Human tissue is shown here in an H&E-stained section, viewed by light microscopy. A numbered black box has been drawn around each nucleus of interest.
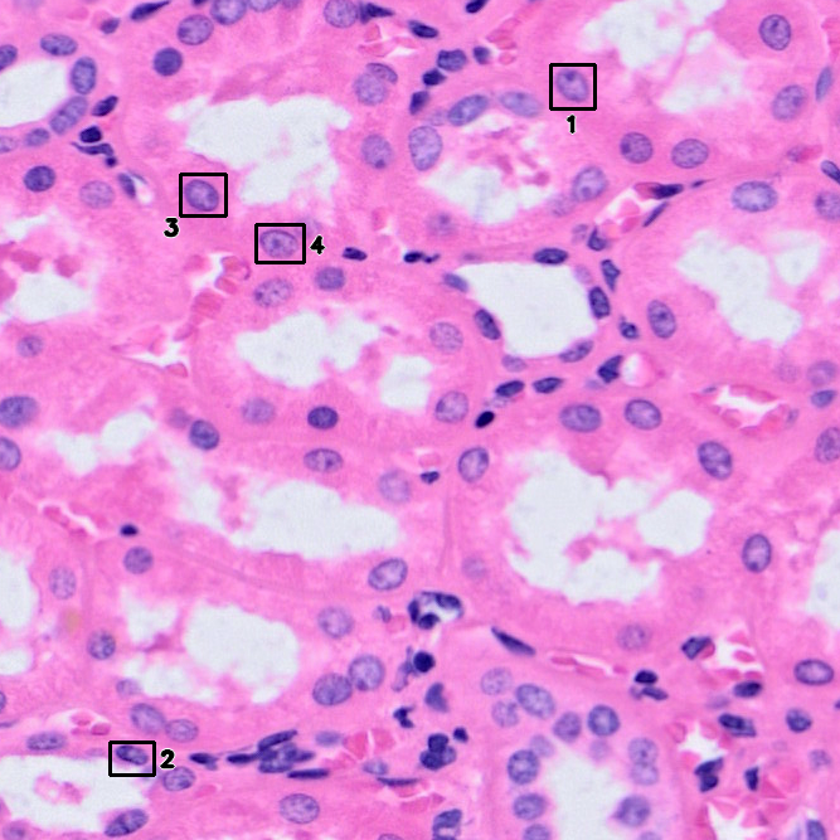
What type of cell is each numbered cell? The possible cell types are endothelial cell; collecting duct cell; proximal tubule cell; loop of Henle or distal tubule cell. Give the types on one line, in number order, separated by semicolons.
proximal tubule cell; loop of Henle or distal tubule cell; proximal tubule cell; proximal tubule cell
